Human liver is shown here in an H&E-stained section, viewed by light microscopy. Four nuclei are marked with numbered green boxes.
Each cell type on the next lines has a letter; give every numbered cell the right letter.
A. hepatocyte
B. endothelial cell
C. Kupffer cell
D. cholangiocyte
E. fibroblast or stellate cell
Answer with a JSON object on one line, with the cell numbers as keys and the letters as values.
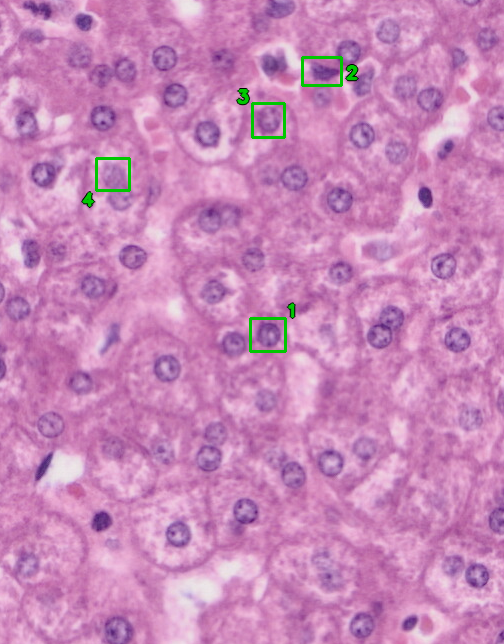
{"1": "A", "2": "E", "3": "A", "4": "A"}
